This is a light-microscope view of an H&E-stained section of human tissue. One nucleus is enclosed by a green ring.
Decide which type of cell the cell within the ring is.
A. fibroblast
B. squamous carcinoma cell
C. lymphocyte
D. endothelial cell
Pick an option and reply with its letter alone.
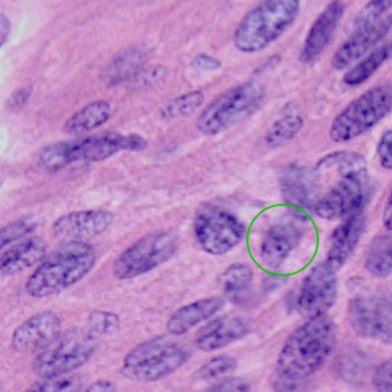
B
